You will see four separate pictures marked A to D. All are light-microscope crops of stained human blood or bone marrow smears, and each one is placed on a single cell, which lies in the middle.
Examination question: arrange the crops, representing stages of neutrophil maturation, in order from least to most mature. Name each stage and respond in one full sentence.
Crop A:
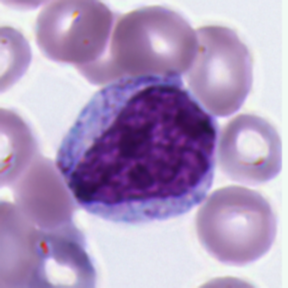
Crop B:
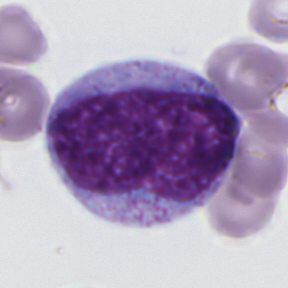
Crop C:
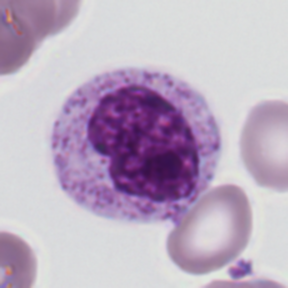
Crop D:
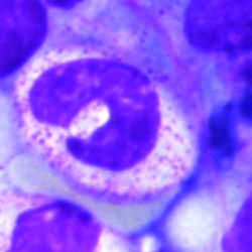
By stage of maturation, from earliest to latest, the order is crop B (a promyelocyte), crop A (a myelocyte), crop C (a metamyelocyte) and crop D (a band neutrophil).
